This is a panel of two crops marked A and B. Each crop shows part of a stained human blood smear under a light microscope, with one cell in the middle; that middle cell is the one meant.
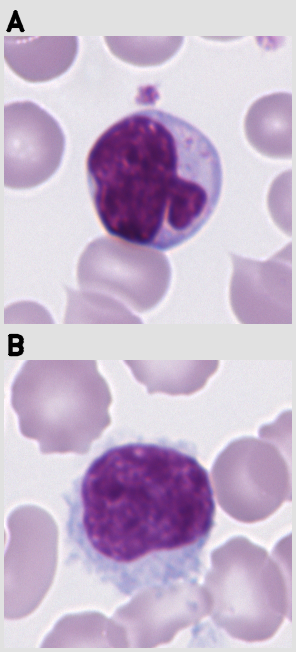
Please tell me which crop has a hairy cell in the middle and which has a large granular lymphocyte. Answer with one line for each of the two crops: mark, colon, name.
A: large granular lymphocyte
B: hairy cell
